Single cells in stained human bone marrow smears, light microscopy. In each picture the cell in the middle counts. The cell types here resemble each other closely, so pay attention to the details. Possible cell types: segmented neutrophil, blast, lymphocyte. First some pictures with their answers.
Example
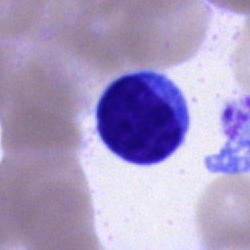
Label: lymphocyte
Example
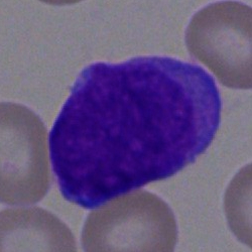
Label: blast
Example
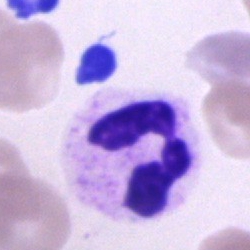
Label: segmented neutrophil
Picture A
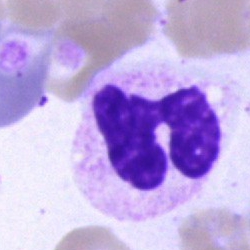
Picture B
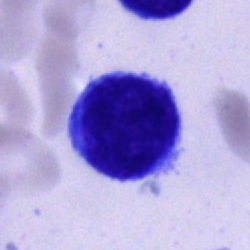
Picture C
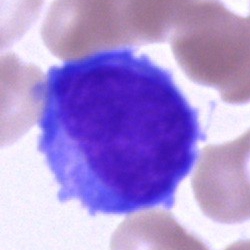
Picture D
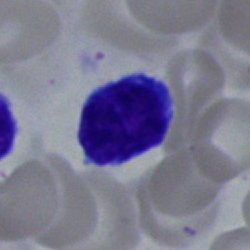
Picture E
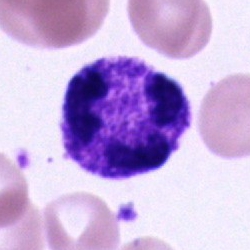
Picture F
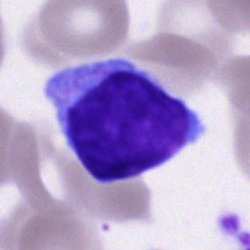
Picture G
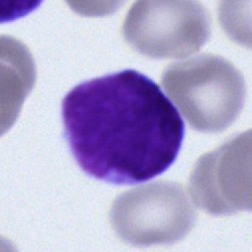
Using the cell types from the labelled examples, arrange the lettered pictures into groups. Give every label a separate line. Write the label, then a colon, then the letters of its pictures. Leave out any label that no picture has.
segmented neutrophil: A, E
blast: C
lymphocyte: B, D, F, G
